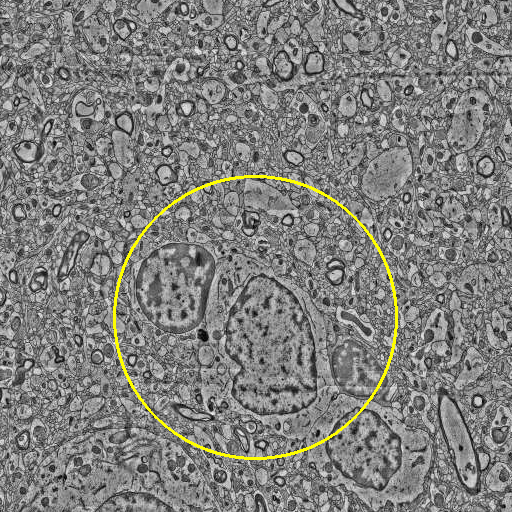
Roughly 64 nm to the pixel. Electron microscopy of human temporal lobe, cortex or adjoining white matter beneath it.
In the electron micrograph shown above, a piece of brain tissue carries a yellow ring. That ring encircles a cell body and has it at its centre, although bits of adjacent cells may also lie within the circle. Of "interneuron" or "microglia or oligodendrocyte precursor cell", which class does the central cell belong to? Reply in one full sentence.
The cell body at the centre of the yellow ring belongs to a microglial cell or oligodendrocyte precursor cell.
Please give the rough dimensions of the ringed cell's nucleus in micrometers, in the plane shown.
About 9 by 6 micrometres; in this plane the nucleus is clearly longer than it is wide.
